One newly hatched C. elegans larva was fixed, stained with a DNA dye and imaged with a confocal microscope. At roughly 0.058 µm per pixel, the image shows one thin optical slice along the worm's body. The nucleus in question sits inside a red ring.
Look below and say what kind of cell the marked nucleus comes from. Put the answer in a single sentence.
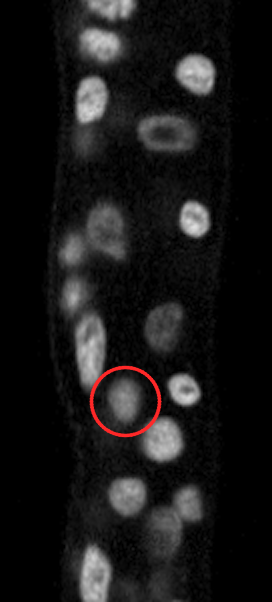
The marked nucleus belongs to a seam cell.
